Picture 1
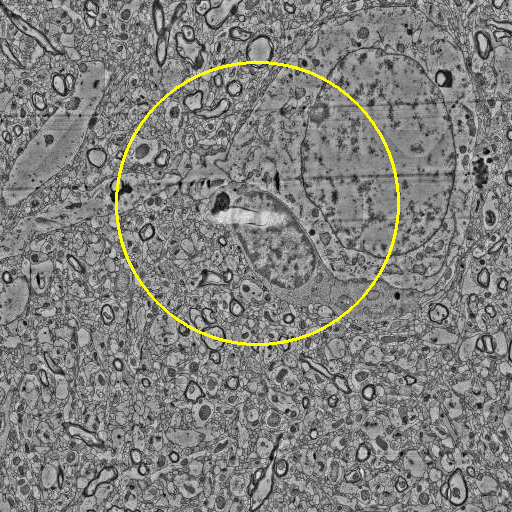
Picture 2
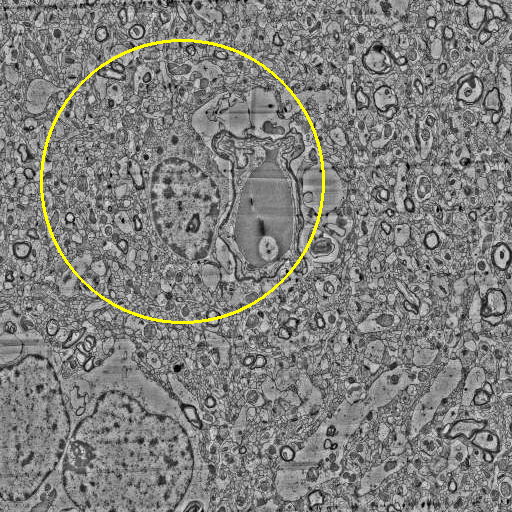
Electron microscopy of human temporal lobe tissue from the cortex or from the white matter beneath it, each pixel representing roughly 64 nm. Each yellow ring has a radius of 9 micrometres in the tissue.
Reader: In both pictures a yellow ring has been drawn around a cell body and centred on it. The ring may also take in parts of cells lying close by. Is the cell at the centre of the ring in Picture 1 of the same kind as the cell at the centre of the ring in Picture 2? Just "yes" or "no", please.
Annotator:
yes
